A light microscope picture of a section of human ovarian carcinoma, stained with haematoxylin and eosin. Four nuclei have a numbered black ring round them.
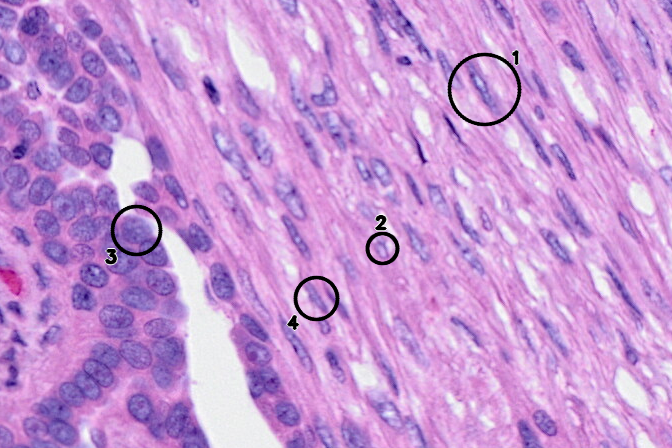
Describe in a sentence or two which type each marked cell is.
Cells 1, 2 and 4 are fibroblasts. Cell 3 is a carcinoma cell.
